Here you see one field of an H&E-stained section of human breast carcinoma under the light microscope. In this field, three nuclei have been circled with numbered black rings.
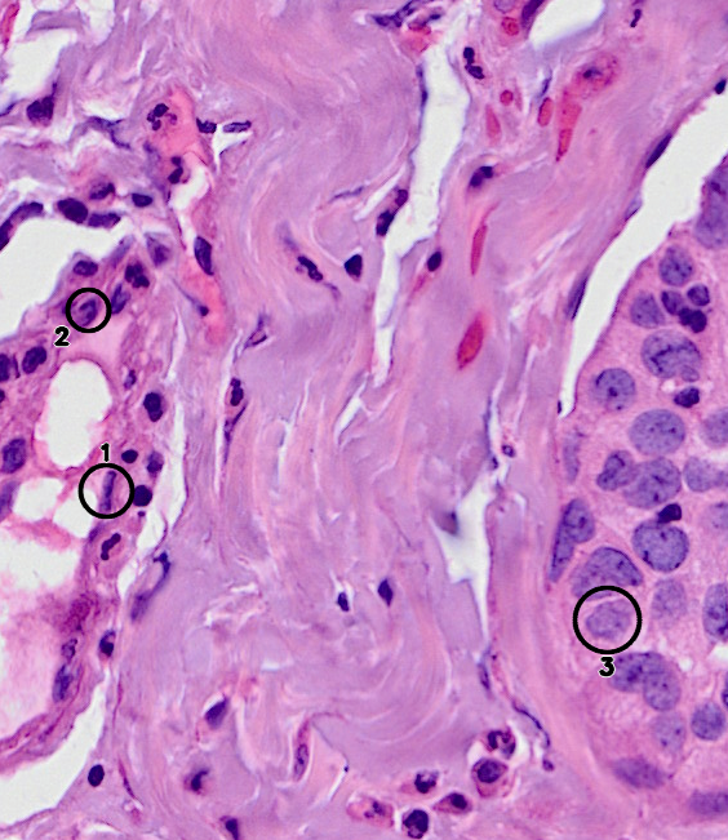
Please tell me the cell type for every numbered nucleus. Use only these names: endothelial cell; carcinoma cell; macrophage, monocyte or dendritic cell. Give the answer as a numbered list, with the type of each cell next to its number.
1. endothelial cell
2. endothelial cell
3. carcinoma cell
